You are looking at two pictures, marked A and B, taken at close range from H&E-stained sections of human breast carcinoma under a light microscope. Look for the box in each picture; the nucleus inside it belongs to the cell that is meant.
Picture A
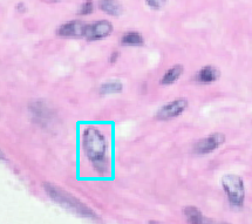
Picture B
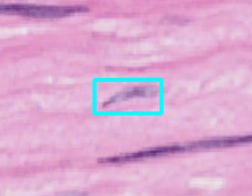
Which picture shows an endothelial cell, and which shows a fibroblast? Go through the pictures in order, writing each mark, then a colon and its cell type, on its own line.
A: endothelial cell
B: fibroblast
